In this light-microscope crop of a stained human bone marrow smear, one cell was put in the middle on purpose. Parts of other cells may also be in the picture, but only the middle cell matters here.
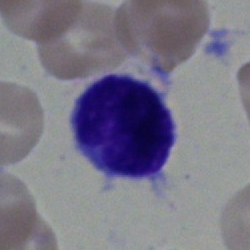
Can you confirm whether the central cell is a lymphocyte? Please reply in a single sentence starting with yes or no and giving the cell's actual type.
Yes, the one cell at the centre is a lymphocyte.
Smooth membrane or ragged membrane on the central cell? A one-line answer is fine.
Along the periphery, ragged stretches or projections make the outline irregular.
